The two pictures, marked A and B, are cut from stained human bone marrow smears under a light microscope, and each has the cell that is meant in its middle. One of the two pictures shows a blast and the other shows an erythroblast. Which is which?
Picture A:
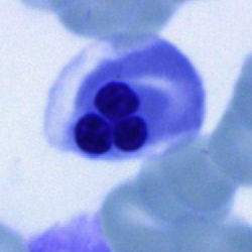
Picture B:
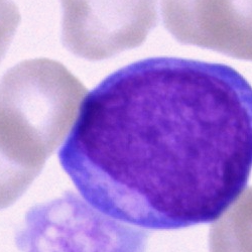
A: erythroblast
B: blast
